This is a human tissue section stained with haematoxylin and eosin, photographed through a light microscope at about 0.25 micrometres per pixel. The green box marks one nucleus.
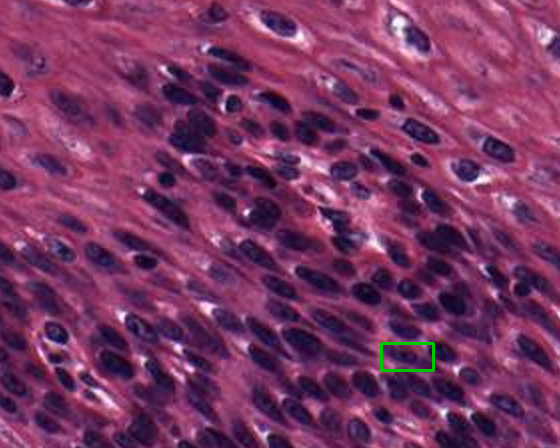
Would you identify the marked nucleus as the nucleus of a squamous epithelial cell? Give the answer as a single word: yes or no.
yes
